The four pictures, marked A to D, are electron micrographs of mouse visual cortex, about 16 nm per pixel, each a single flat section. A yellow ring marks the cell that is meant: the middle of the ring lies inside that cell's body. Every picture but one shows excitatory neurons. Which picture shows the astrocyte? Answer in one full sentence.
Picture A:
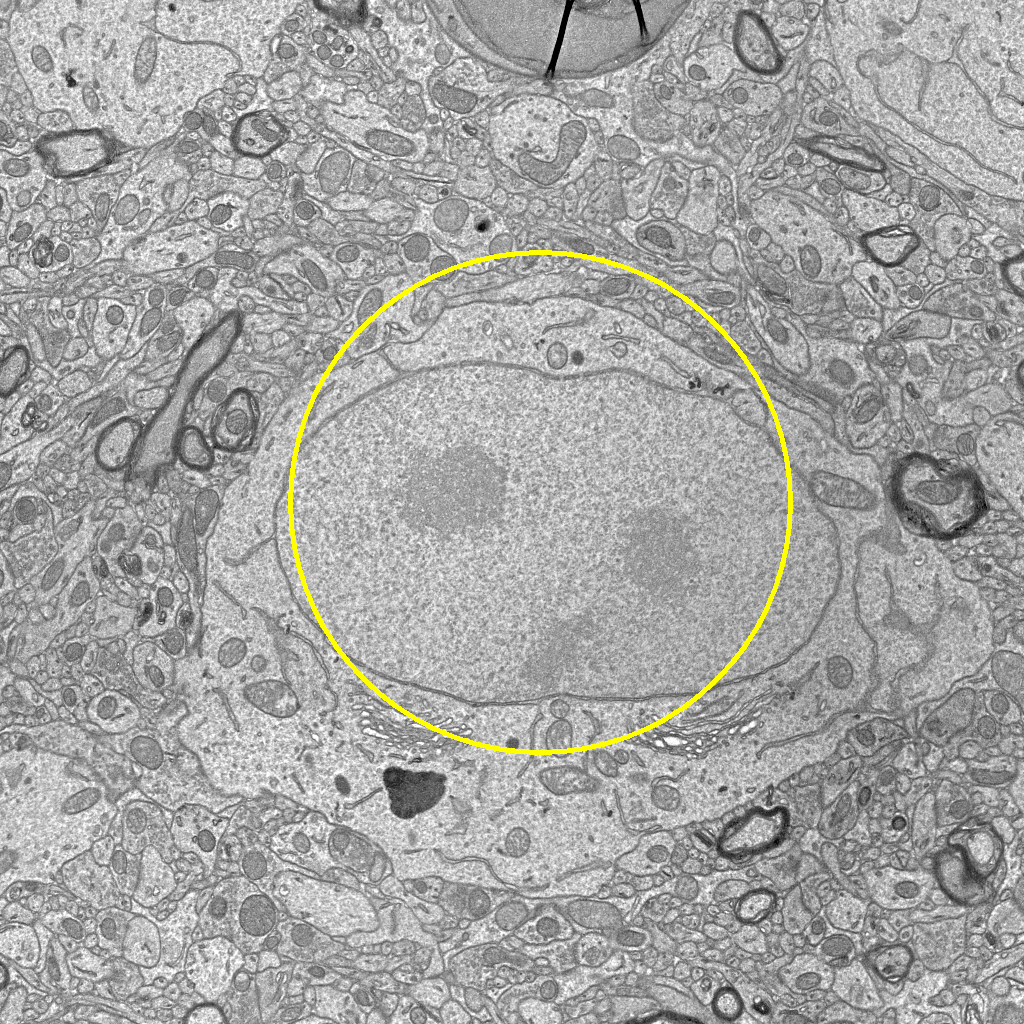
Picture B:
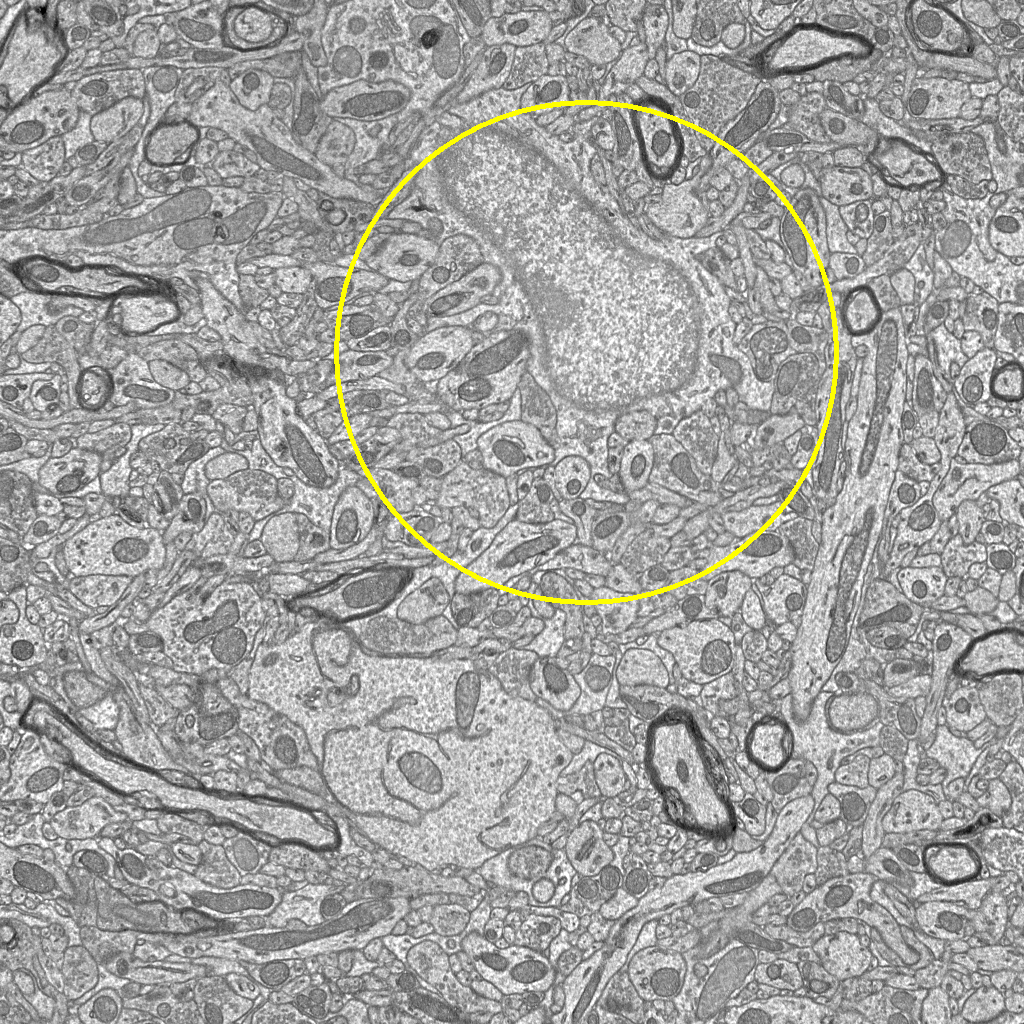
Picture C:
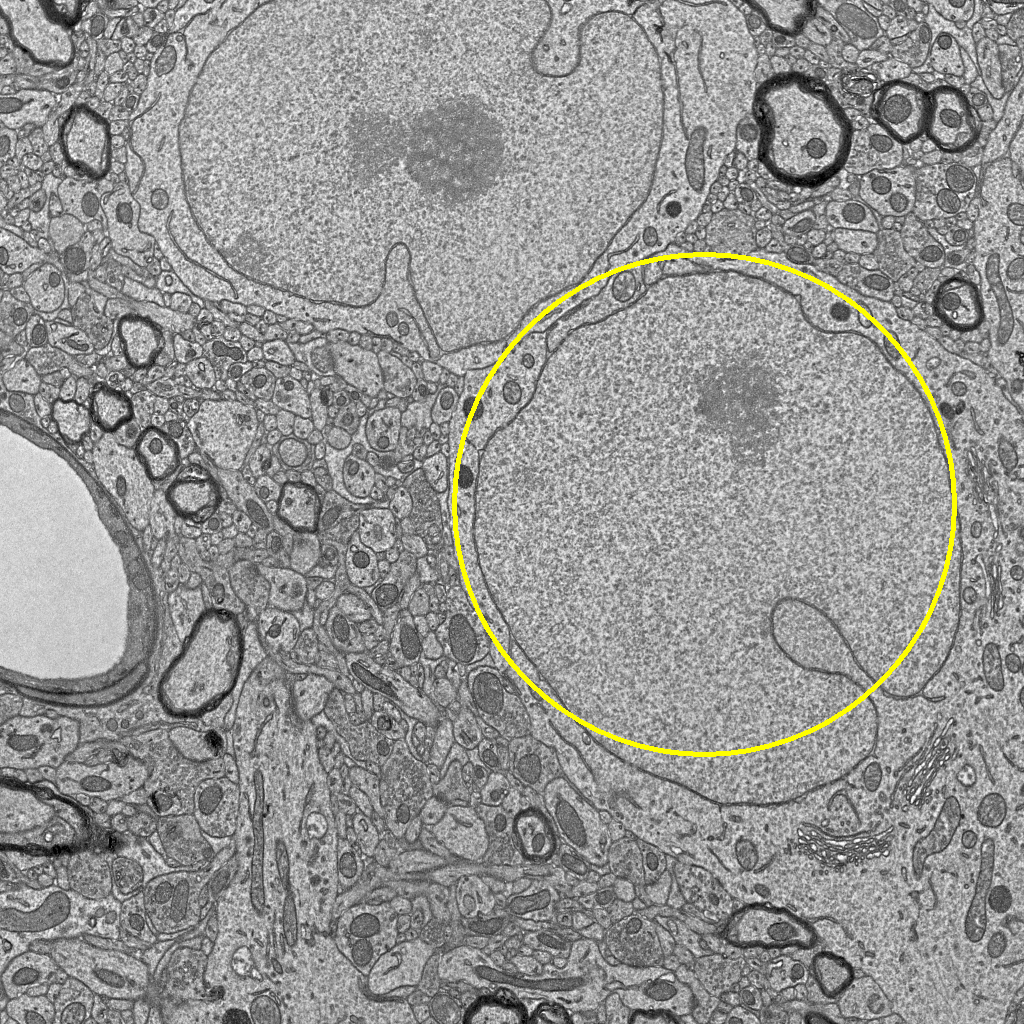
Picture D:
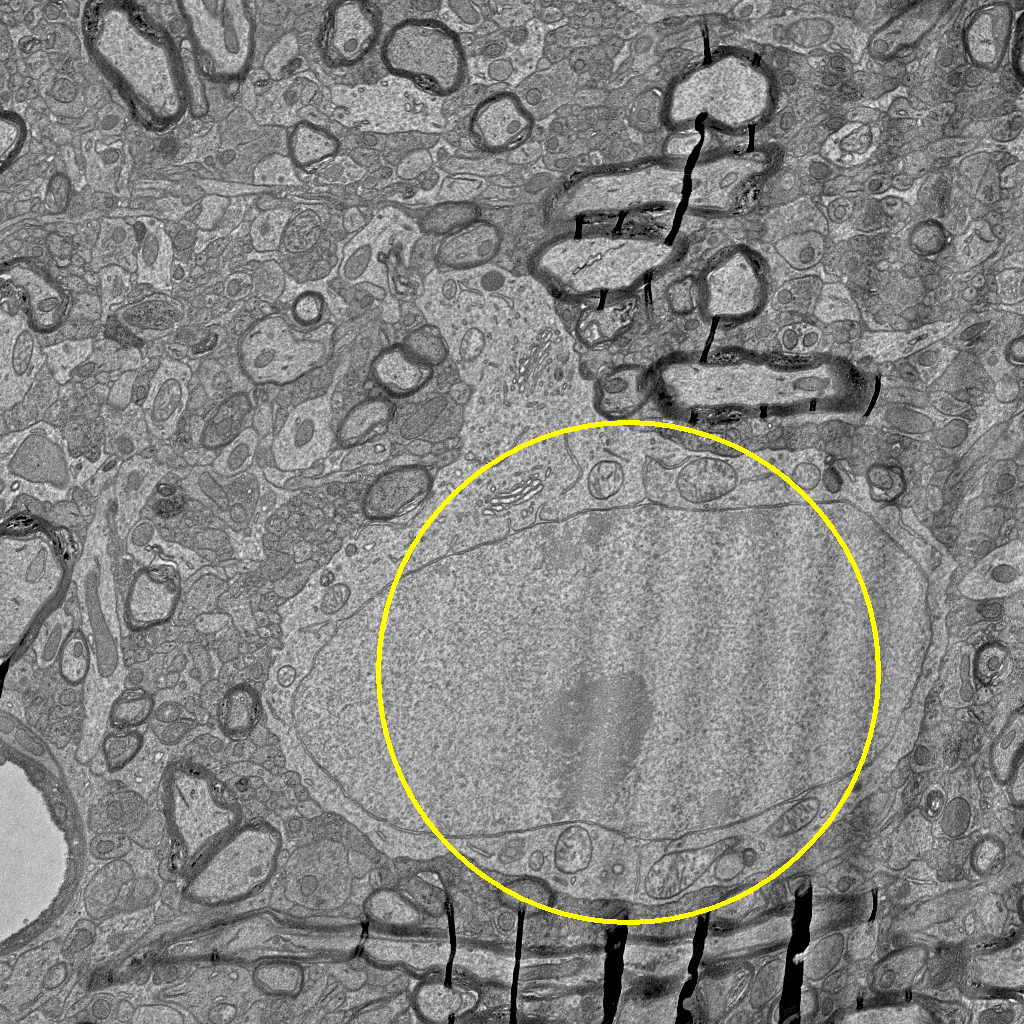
It is picture B that shows the astrocyte.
